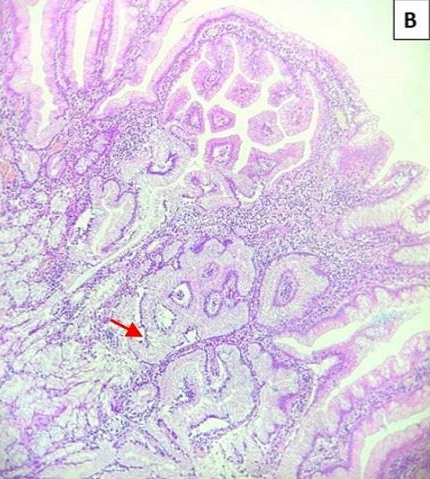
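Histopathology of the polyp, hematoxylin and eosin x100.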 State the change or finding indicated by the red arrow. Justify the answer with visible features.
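Tortuous glands lined by pale, mucin-rich columnar epithelium extend down into the cellular stroma. The stroma between the glands is densely cellular.
Foveolar proliferation invaginating into the chorion.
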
